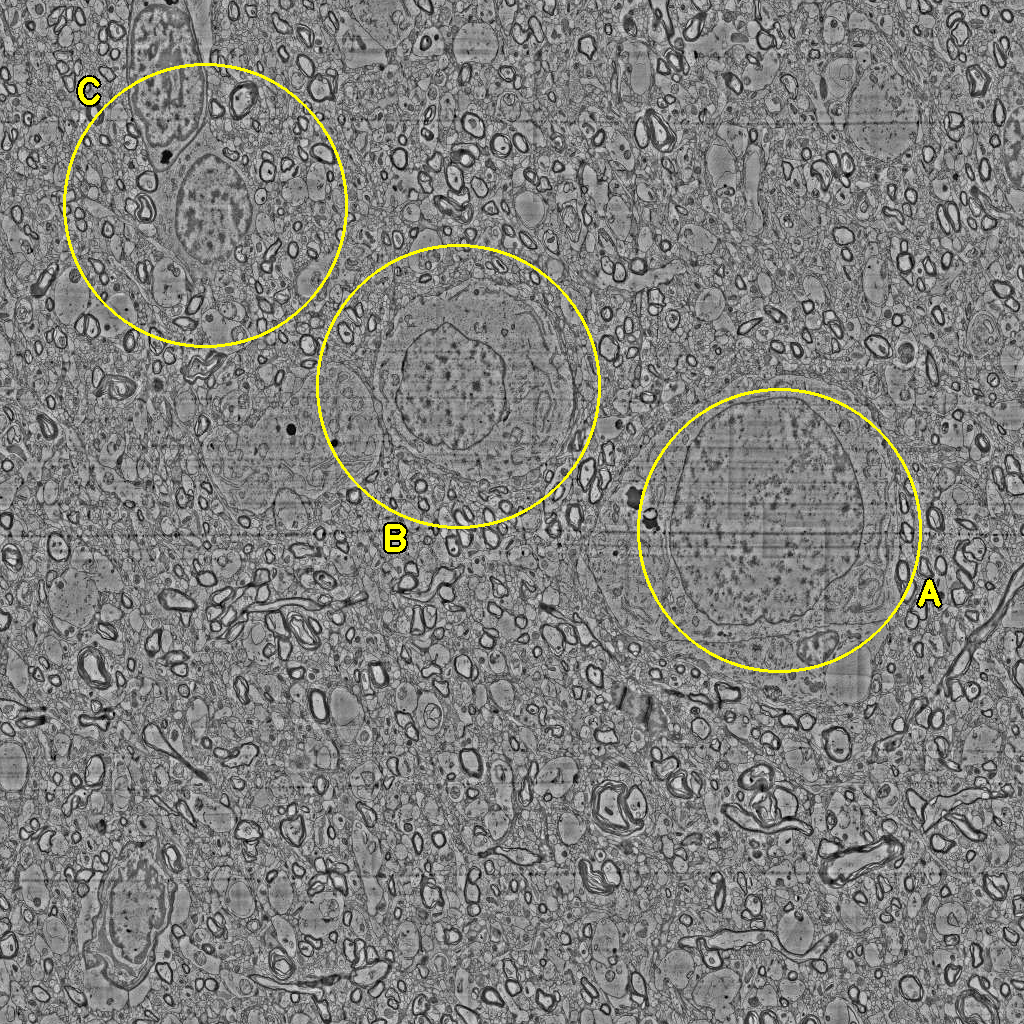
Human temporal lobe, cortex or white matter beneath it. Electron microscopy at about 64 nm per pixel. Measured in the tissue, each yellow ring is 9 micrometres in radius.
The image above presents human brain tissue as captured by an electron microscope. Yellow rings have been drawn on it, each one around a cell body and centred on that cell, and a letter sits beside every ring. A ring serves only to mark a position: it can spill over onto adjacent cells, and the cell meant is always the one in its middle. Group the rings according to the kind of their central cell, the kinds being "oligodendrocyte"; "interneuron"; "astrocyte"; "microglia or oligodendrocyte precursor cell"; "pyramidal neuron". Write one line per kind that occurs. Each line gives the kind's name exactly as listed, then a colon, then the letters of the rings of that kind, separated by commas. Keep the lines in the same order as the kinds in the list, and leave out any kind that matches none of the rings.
oligodendrocyte: C
pyramidal neuron: A, B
